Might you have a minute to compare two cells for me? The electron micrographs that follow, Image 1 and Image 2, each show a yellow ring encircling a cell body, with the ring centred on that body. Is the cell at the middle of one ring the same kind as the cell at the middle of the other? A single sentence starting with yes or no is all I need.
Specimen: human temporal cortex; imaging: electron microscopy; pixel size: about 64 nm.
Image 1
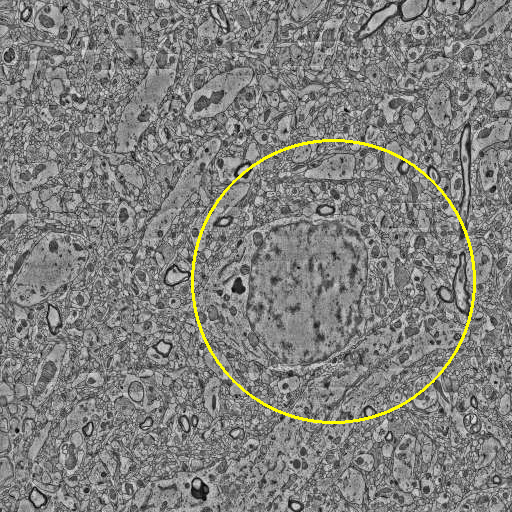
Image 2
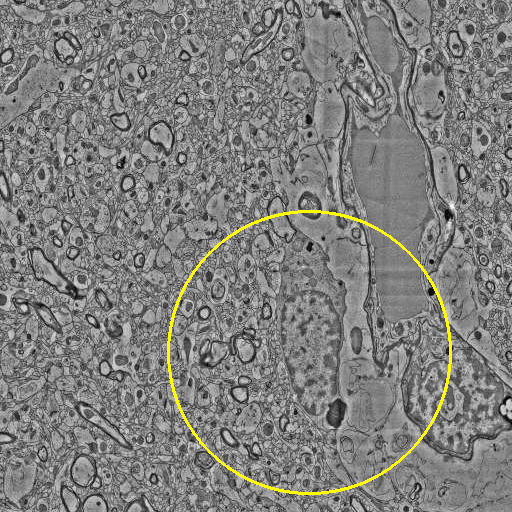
No, the cells in the middle of the two rings are of two separate kinds.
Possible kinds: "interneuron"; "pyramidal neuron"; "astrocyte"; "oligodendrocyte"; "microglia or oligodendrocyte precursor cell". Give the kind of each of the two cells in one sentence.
The cell in the second picture is an oligodendrocyte, and that in the first is an interneuron.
